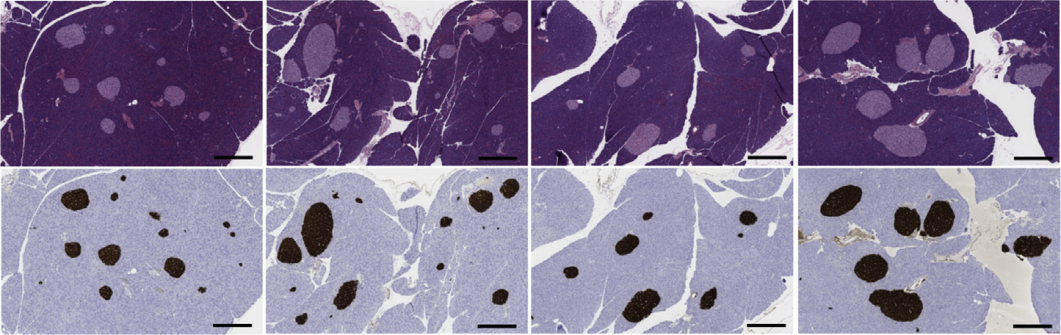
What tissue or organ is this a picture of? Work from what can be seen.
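Dense lobulated glandular tissue stained deep purple in the upper row. Lobules separated by thin septa and clefts. Scattered round pale nests embedded in the glandular tissue. So: pancreas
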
